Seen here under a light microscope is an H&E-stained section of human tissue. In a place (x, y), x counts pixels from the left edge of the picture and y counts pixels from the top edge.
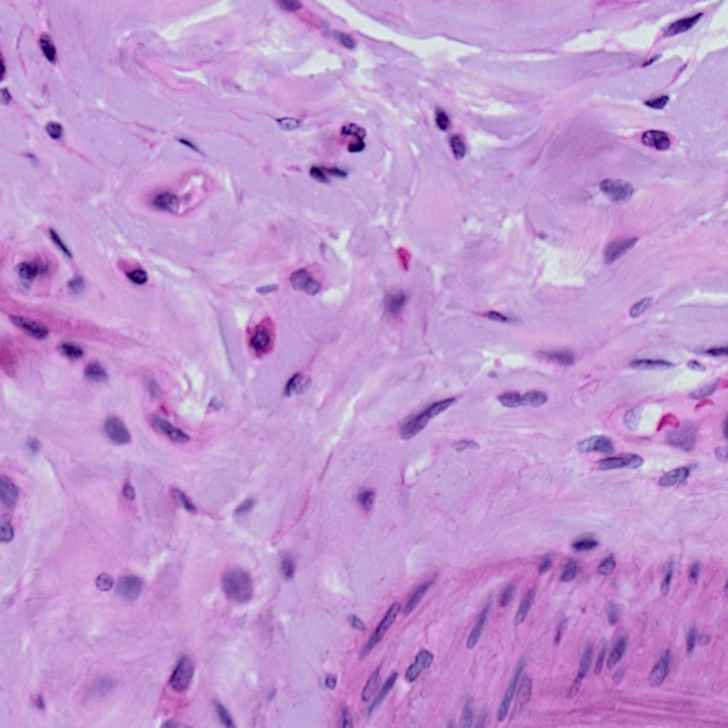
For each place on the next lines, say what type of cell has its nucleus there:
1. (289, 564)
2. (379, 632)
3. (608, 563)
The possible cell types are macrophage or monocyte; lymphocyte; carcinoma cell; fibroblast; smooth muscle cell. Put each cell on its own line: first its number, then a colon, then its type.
1: fibroblast
2: smooth muscle cell
3: smooth muscle cell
